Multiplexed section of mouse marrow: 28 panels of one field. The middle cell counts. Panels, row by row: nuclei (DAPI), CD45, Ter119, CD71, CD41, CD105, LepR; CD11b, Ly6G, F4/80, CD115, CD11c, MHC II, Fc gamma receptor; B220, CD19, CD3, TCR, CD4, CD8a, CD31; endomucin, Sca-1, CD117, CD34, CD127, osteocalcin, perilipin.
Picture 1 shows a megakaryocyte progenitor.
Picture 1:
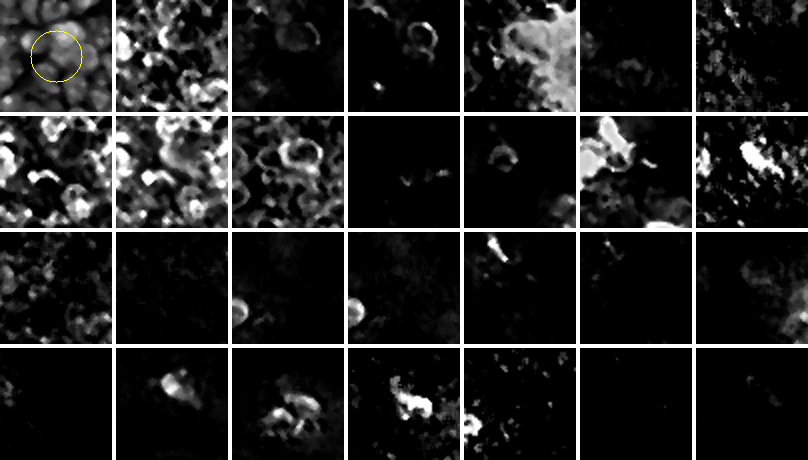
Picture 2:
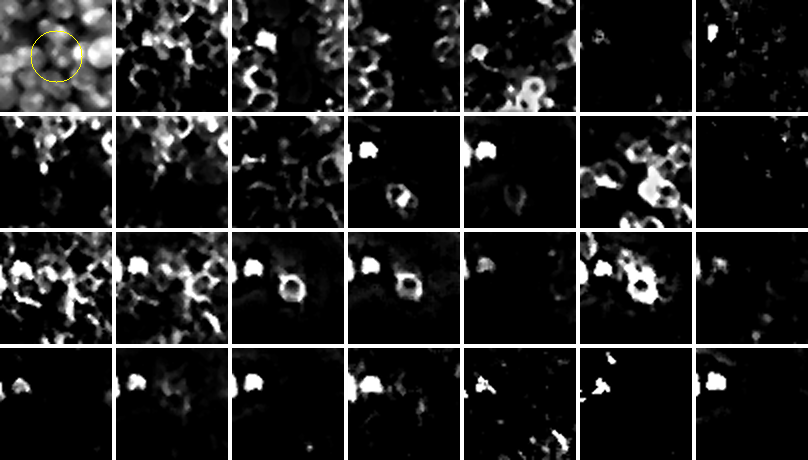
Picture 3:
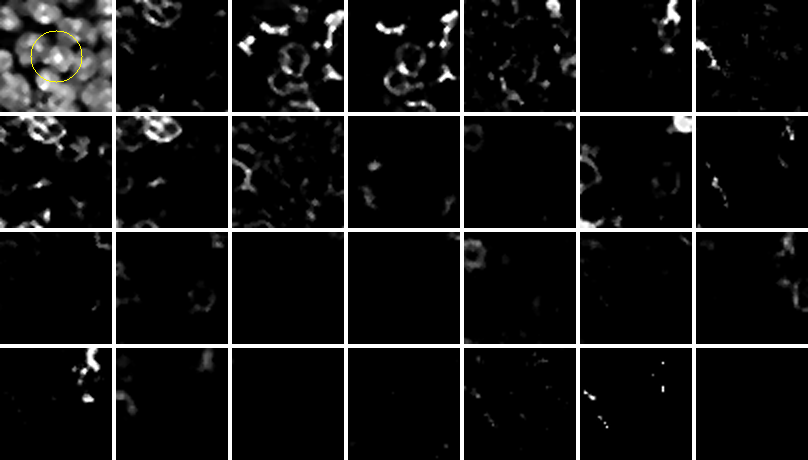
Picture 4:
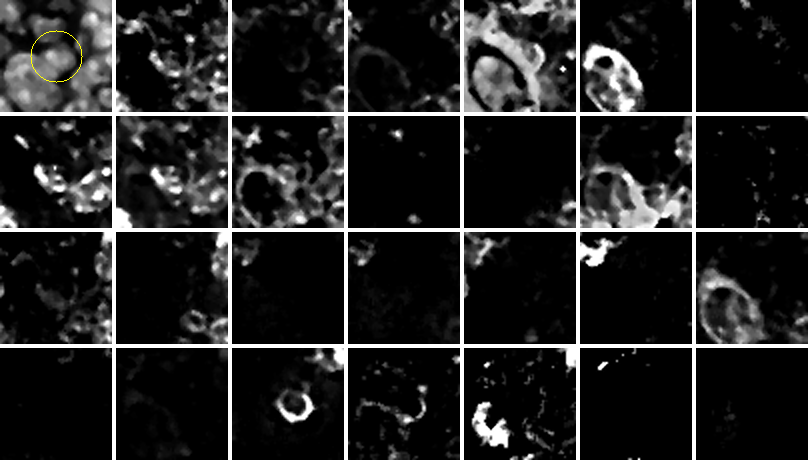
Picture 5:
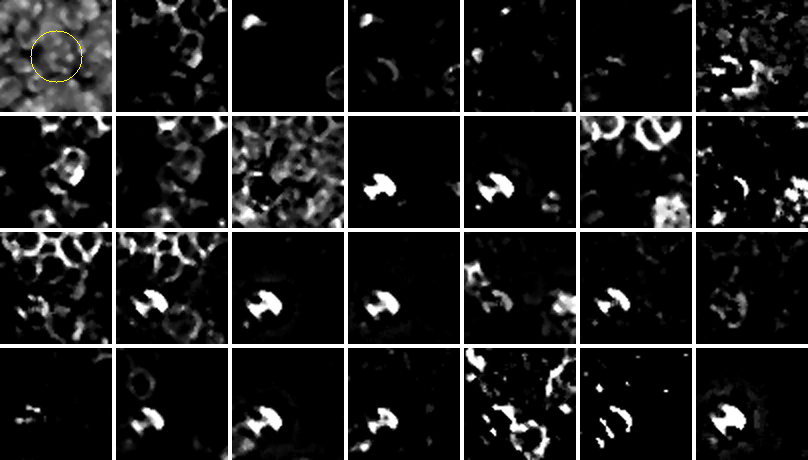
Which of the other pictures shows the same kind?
Picture 4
